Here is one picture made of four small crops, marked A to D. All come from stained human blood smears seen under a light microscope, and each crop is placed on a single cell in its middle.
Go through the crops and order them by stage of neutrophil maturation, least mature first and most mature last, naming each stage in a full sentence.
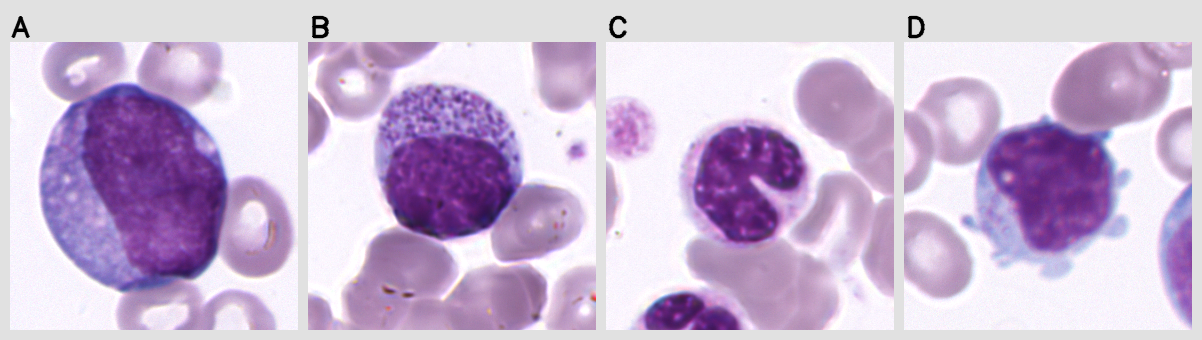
The least to most mature sequence reads crop D (a myeloblast), crop A (a promyelocyte), crop B (a myelocyte) and crop C (a band neutrophil).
